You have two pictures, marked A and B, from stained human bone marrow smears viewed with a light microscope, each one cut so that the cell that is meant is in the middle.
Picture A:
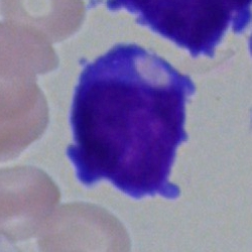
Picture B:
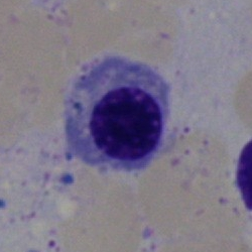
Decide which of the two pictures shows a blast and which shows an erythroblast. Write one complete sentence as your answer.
Picture B shows an erythroblast, while picture A shows a blast.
